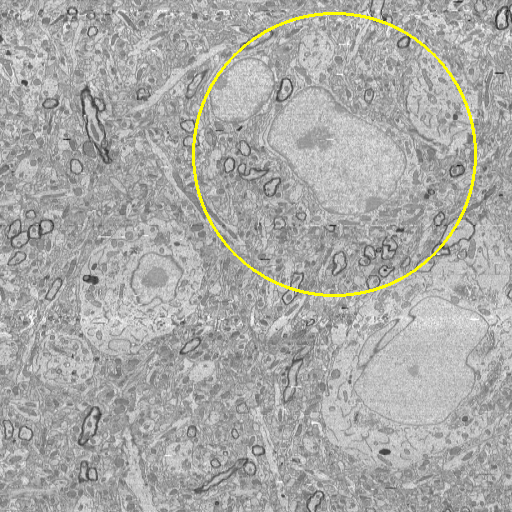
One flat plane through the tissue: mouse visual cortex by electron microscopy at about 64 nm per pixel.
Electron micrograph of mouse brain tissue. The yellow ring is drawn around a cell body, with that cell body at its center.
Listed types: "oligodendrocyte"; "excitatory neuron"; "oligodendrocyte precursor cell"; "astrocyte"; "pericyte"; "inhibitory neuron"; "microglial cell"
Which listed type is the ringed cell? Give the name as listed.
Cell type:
astrocyte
